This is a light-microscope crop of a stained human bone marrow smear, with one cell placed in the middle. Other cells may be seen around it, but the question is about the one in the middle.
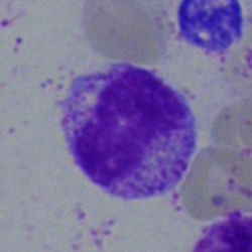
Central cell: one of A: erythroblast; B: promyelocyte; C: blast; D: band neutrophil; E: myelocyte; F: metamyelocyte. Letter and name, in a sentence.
As the central cell is a metamyelocyte, option F is correct.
